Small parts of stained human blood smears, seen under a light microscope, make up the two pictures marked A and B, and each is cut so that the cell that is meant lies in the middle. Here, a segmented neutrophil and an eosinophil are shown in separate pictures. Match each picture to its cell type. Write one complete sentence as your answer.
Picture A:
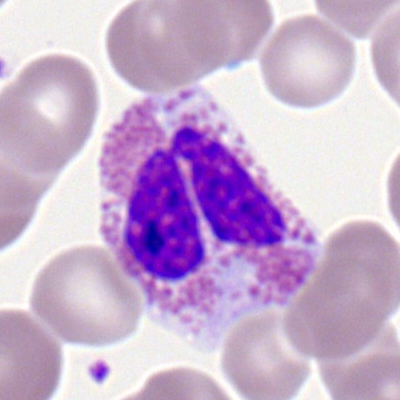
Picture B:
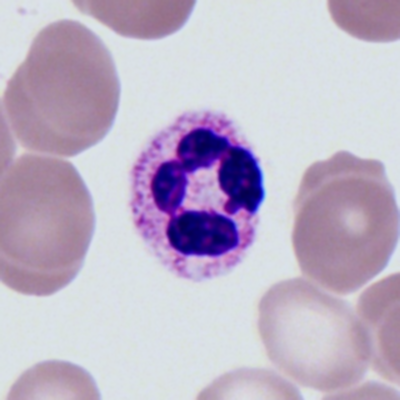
Picture A is of an eosinophil, and picture B is of a segmented neutrophil.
